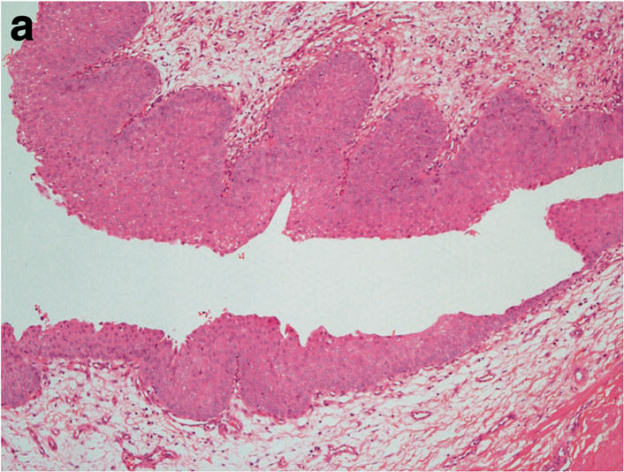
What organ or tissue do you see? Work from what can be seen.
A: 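A thick multilayered epithelium lines both sides of a slit-like open lumen. The epithelium rests on loose pale connective tissue with small vessels. That points to this answer: urothelial lining.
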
